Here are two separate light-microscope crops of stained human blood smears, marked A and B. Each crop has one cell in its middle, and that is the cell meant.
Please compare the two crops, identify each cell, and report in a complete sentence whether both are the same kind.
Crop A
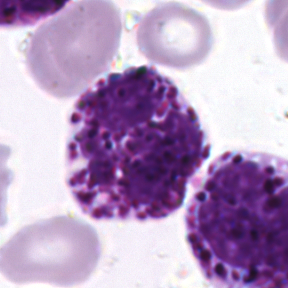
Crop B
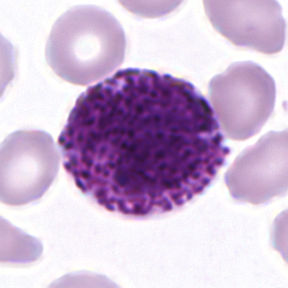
Yes, the two crops show basophils at their centres.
